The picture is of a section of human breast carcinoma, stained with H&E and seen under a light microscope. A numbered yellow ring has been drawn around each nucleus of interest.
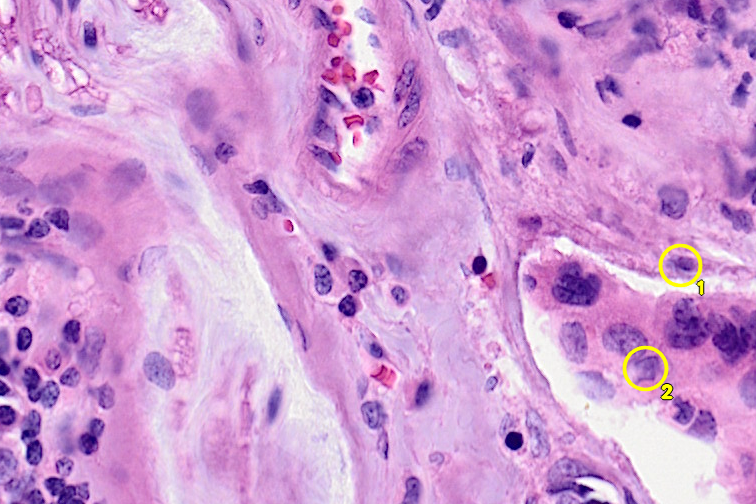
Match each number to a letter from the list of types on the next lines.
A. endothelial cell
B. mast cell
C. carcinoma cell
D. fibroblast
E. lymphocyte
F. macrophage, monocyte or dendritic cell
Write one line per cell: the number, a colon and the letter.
1: D
2: C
